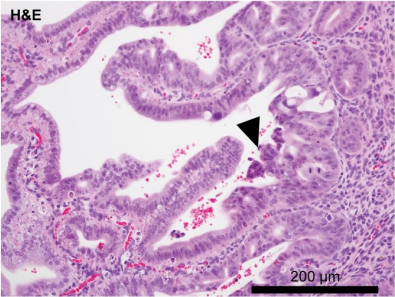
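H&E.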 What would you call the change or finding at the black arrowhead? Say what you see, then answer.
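Dyplastic endometrial epithelia. The epithelium is multilayered with crowded, enlarged nuclei.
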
